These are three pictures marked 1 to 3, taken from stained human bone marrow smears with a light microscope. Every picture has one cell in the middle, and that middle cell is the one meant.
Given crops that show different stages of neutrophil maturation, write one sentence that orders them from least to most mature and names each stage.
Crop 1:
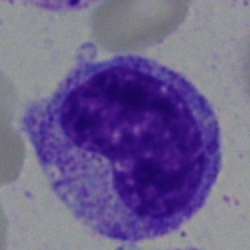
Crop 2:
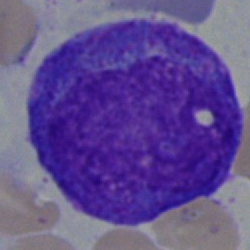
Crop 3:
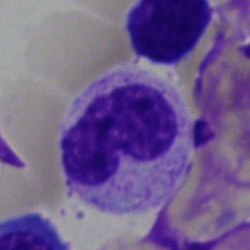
Along the maturation pathway, from earliest to latest, the order is crop 2 (a promyelocyte), crop 1 (a metamyelocyte) and crop 3 (a band neutrophil).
